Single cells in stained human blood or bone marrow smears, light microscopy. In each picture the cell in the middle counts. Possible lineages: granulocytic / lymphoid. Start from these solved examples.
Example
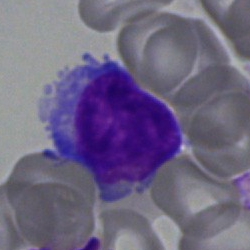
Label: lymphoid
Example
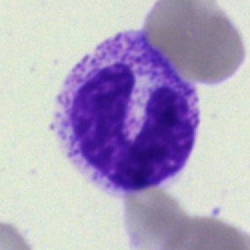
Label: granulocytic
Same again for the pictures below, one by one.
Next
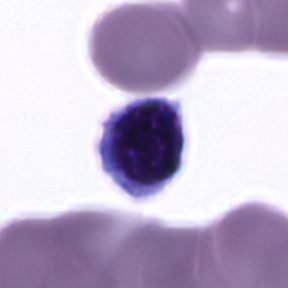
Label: lymphoid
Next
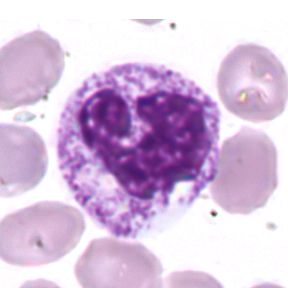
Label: granulocytic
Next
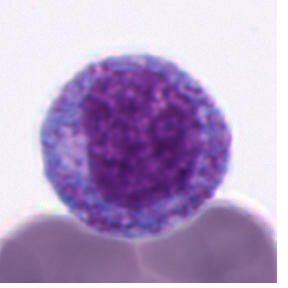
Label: granulocytic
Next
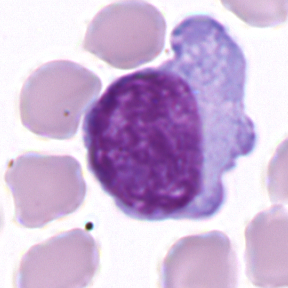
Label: lymphoid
